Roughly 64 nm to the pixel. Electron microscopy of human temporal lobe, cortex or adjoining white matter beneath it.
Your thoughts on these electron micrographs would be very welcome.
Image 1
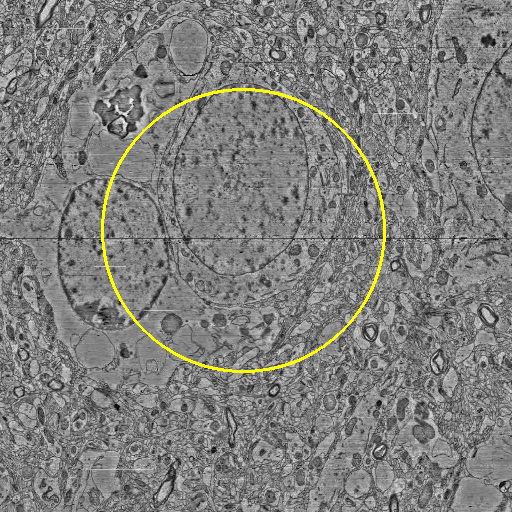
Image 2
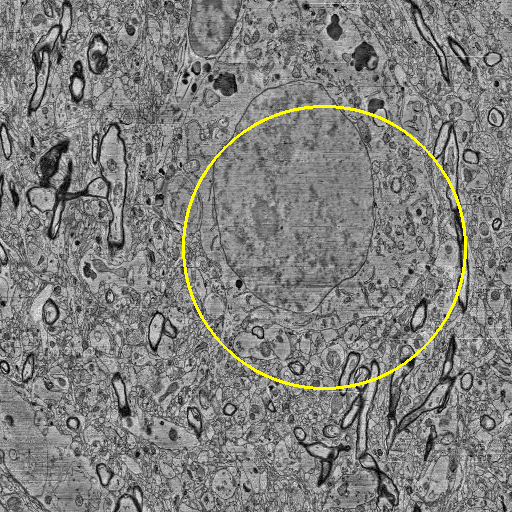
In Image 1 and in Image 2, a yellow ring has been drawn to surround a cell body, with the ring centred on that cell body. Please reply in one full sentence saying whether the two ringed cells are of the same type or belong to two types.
The ringed cells in Image 1 and Image 2 are of the same type.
